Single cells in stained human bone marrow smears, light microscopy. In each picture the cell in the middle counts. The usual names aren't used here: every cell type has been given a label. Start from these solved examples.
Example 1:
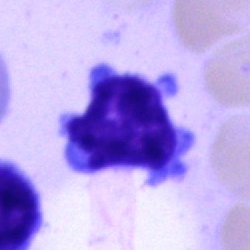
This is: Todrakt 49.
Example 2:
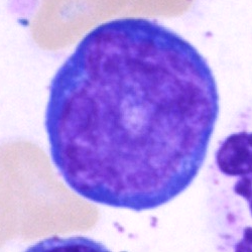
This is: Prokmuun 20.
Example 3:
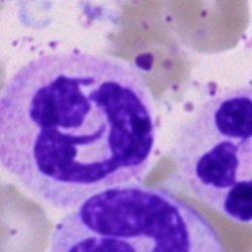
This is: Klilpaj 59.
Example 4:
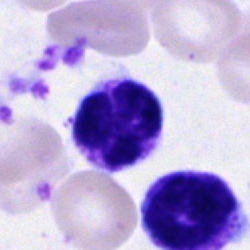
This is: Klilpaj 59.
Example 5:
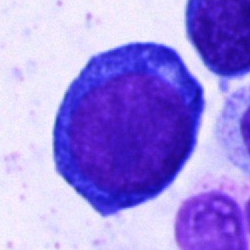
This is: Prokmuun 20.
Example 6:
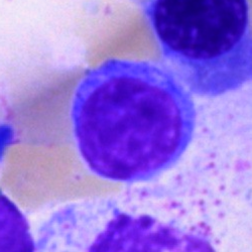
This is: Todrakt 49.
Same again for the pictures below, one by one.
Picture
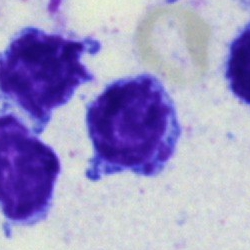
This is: Todrakt 49.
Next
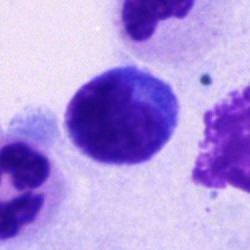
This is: Todrakt 49.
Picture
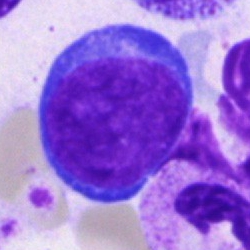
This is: Prokmuun 20.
